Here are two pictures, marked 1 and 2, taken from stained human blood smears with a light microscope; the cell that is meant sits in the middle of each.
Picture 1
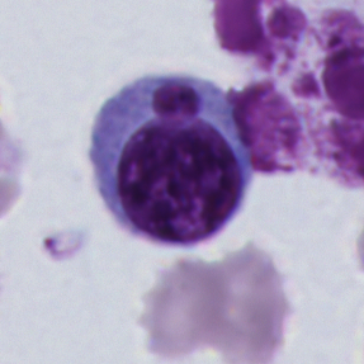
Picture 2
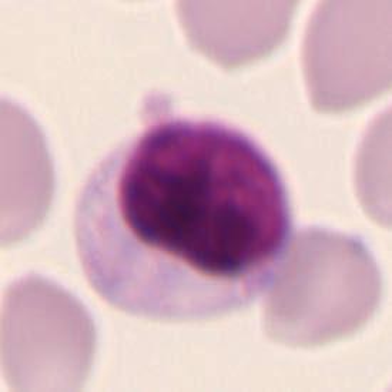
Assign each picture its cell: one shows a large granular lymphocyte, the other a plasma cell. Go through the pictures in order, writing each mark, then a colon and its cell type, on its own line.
1: plasma cell
2: large granular lymphocyte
